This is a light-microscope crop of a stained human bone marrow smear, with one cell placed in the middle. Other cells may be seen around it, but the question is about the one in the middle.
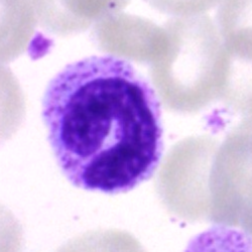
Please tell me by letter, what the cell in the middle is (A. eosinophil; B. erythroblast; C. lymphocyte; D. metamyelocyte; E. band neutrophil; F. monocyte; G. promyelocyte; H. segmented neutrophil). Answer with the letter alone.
E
